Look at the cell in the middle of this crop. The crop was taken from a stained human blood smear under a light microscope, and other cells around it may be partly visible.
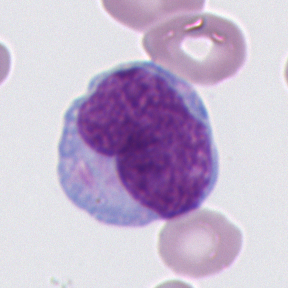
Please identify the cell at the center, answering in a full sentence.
Positioned in the middle of the crop is an atypical promyelocyte.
